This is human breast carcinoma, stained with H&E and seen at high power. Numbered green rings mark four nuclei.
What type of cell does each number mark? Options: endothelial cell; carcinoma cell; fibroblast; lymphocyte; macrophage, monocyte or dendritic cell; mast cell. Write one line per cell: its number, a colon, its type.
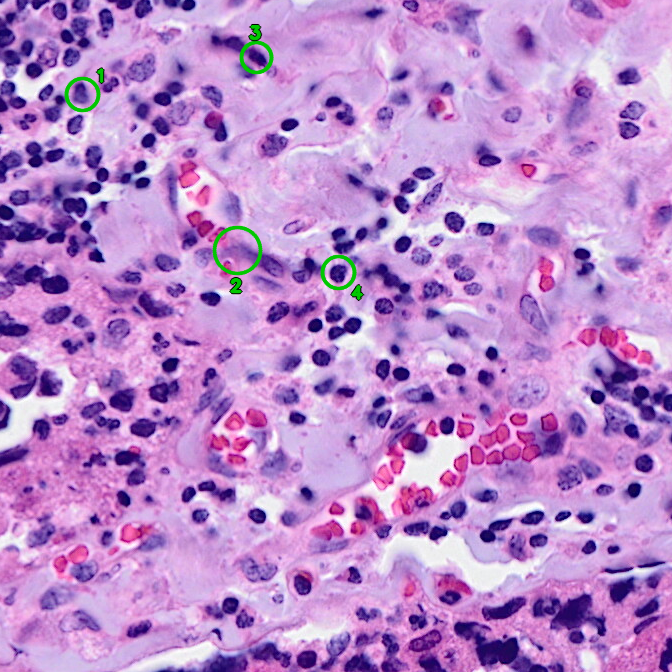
1: lymphocyte
2: endothelial cell
3: lymphocyte
4: lymphocyte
